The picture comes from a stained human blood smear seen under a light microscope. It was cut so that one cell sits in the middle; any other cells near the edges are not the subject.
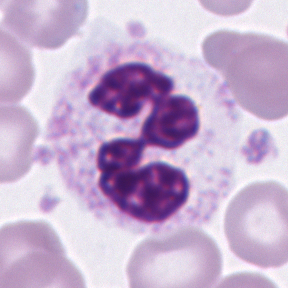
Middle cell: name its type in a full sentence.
The cell centered in this field of view is a segmented neutrophil.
